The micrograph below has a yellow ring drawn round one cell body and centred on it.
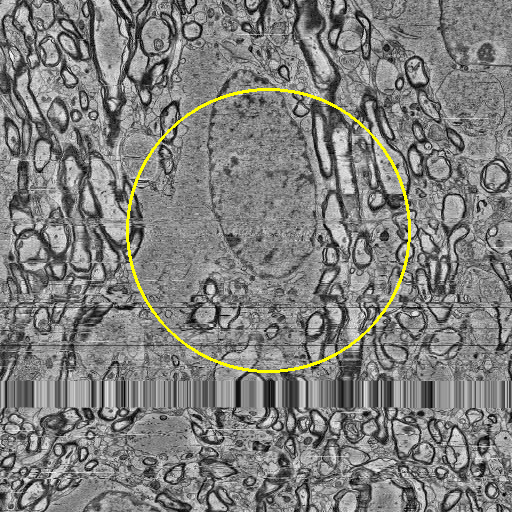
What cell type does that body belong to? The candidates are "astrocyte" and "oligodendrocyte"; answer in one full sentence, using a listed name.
This is an astrocyte, the cell whose body lies at the centre of the ring.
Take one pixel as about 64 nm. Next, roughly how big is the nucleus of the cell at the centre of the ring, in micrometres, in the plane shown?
In this plane the nucleus measures about 14 by 7 micrometres and is clearly longer than it is wide.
